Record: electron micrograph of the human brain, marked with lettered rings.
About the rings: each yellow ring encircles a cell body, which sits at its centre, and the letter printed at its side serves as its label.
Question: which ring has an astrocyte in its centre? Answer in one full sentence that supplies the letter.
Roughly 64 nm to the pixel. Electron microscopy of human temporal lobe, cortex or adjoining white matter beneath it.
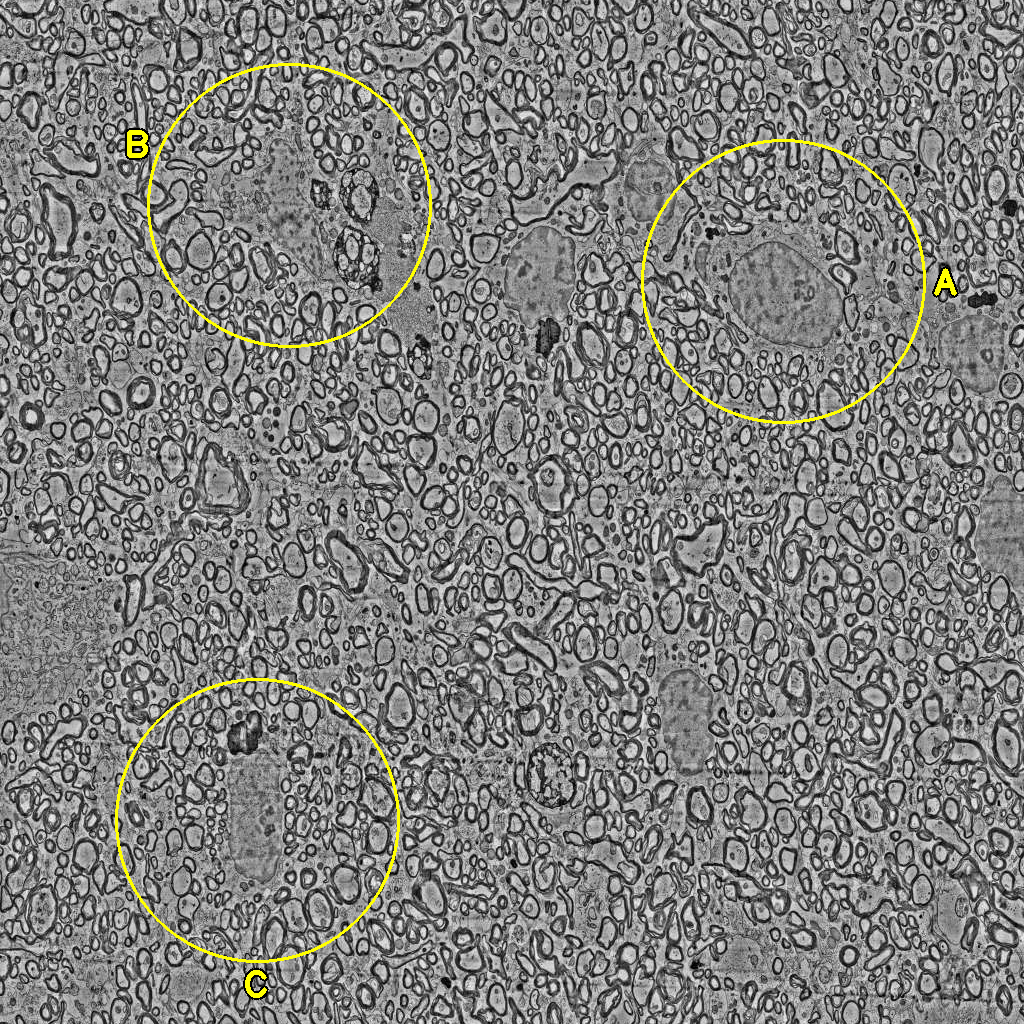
Within the picture, a cell of that kind is centred inside the ring marked B.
